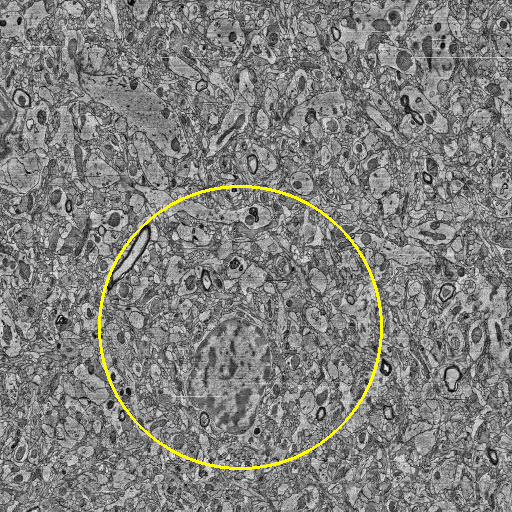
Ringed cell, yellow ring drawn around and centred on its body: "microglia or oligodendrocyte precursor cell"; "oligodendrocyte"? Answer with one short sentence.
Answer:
This ringed cell is a microglial cell or oligodendrocyte precursor cell.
